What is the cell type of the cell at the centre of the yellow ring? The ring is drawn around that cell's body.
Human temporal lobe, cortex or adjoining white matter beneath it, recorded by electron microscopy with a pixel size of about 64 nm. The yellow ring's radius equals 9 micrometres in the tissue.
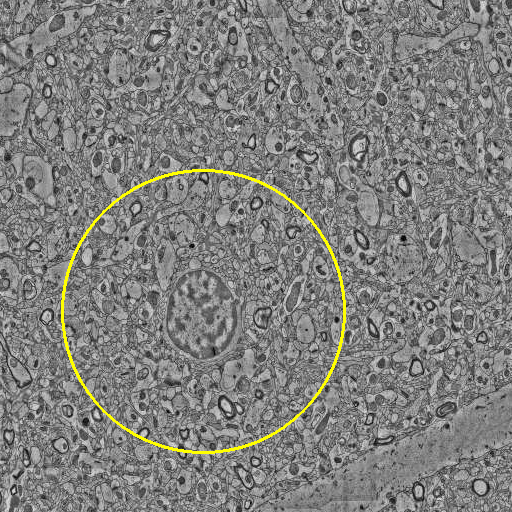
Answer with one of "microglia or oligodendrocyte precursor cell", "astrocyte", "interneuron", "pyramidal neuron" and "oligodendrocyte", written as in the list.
oligodendrocyte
